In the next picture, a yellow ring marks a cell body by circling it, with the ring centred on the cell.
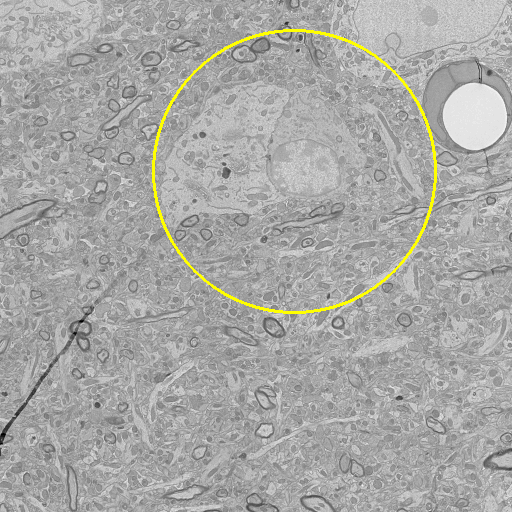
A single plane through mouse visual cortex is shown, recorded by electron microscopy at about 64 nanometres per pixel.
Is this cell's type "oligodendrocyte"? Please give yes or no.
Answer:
yes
